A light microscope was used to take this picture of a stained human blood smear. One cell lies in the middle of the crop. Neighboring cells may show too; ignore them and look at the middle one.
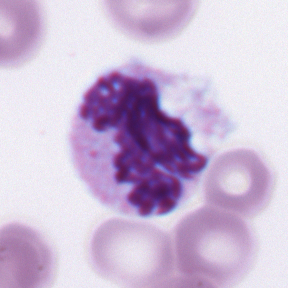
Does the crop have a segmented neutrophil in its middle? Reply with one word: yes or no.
yes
